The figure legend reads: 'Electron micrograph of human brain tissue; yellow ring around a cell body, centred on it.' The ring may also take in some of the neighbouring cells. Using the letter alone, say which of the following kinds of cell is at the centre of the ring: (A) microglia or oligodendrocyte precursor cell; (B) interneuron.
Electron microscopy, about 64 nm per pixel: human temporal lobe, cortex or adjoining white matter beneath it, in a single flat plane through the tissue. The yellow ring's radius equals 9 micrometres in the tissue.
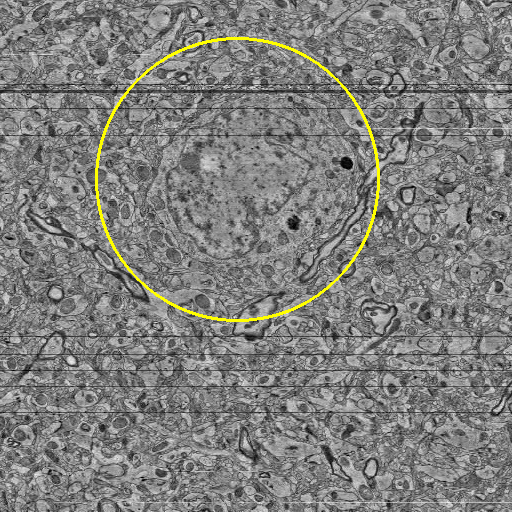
B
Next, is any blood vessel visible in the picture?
No, the picture includes no blood vessel.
